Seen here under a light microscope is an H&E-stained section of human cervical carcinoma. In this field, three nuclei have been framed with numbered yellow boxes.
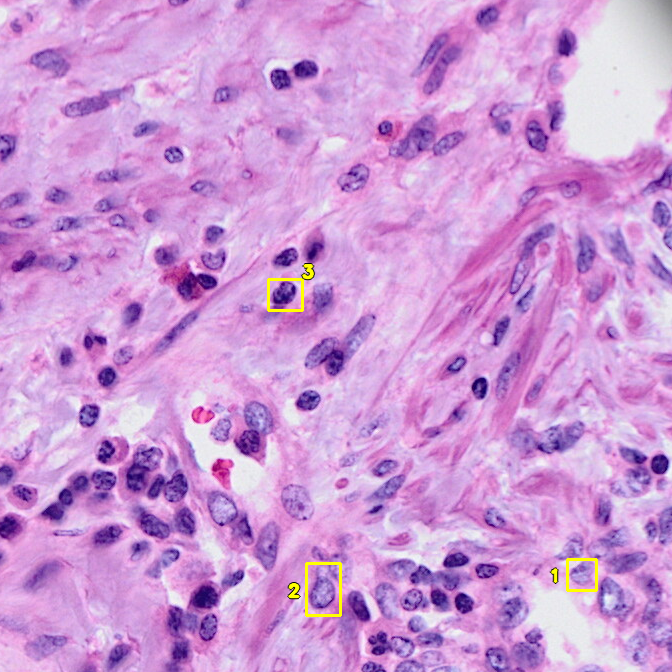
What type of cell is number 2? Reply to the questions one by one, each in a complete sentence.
As for number 2, that cell is an endothelial cell.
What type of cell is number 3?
At number 3, the marked cell is a lymphocyte.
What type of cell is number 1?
As for number 1, that cell is an endothelial cell.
